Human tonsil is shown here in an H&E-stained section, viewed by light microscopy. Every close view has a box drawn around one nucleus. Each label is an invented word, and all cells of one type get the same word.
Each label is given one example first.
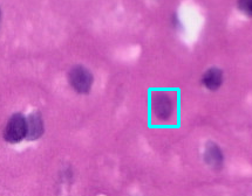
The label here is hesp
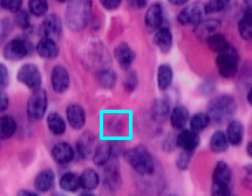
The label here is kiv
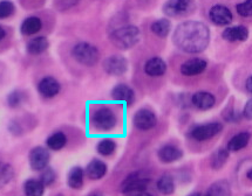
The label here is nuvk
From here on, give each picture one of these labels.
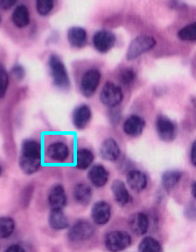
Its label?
nuvk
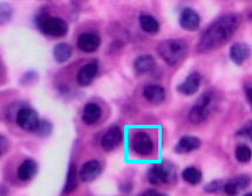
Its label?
nuvk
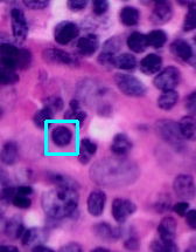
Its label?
kiv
